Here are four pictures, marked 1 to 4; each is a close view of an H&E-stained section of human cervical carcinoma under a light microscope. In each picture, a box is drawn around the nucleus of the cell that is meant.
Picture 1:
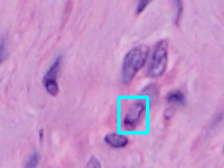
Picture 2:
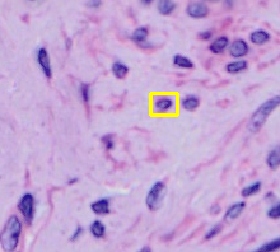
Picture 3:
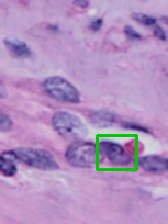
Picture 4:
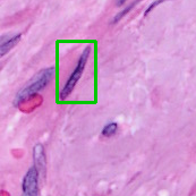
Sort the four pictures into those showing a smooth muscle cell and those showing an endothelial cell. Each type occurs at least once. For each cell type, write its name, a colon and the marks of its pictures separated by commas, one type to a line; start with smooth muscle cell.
smooth muscle cell: 2
endothelial cell: 1, 3, 4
